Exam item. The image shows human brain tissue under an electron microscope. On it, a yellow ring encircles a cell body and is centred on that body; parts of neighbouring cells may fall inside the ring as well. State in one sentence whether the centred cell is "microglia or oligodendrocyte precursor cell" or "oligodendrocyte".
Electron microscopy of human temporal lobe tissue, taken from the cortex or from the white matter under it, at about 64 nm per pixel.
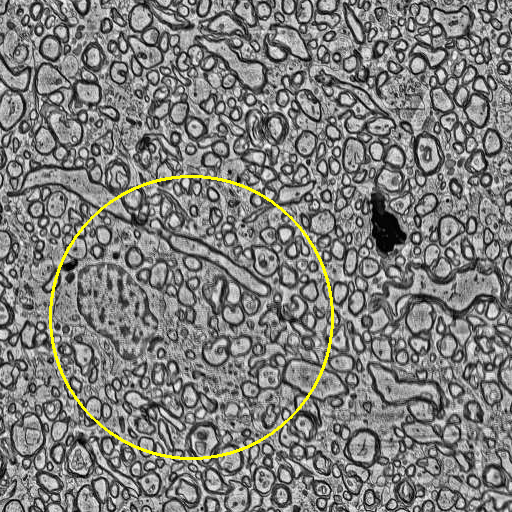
The cell body centred in the ring is a microglial cell or oligodendrocyte precursor cell.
